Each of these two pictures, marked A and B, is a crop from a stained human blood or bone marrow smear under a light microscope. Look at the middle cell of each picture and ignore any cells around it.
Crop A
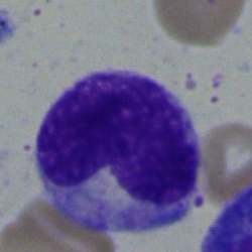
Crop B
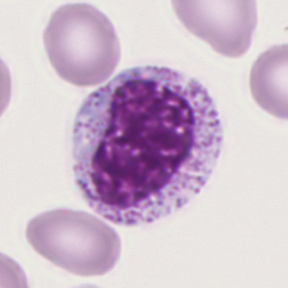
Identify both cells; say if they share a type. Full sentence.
Yes, the cells that the two crops centre on are metamyelocytes.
